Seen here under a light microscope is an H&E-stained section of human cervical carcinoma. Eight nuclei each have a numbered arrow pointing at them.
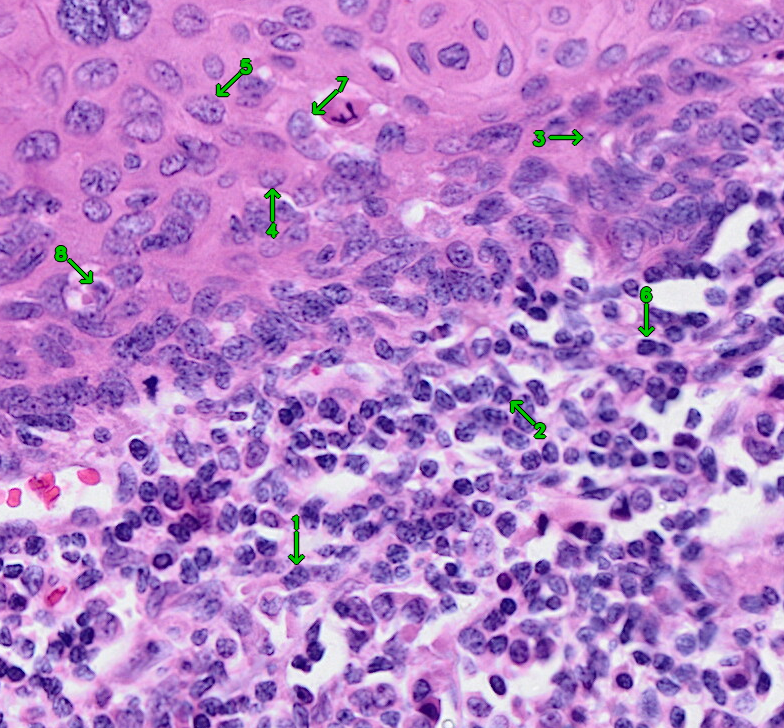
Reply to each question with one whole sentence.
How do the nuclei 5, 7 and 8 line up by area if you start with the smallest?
By area, going up from the smallest, they rank 8, 7, 5.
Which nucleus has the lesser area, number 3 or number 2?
Nucleus 3 covers less area, with nucleus 2 about 1.5 times as large.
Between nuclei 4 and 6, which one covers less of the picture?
The smaller nucleus is 6, and 4 covers roughly 1.5 times its area.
